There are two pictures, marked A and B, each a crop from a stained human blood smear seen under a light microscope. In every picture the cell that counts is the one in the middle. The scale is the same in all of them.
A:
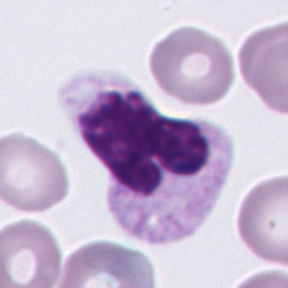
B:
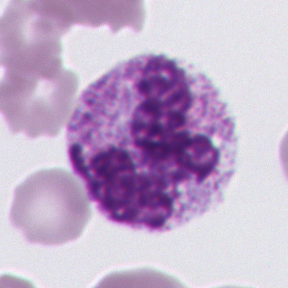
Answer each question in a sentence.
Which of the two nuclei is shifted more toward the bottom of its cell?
The nucleus in picture B lies further toward the bottom of its cell.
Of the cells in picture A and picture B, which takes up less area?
Smaller is the cell in picture A, and the other is about 1.5 times as large in area.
